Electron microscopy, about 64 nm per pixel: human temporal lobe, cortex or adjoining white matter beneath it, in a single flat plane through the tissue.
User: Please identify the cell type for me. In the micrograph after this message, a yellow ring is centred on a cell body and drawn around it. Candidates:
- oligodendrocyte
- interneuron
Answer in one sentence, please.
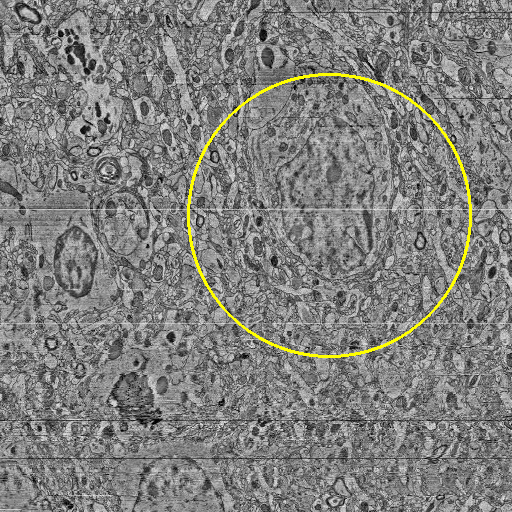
The ring is drawn around the cell body of an interneuron.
